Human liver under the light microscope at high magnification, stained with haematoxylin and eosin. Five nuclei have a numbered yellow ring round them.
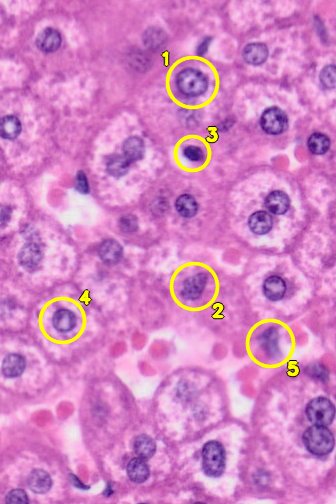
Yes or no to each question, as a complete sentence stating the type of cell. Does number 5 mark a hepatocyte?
No, number 5 identifies an endothelial cell, not a hepatocyte.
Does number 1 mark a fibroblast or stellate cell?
No, at number 1 sits a hepatocyte, not a fibroblast or stellate cell.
